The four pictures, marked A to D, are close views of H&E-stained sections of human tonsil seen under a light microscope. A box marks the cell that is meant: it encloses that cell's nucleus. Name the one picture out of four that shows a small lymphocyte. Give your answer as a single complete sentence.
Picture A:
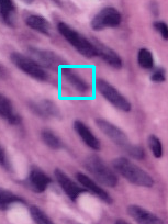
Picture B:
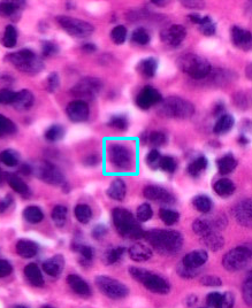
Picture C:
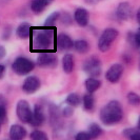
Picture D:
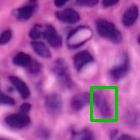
The cell in picture C is the small lymphocyte.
